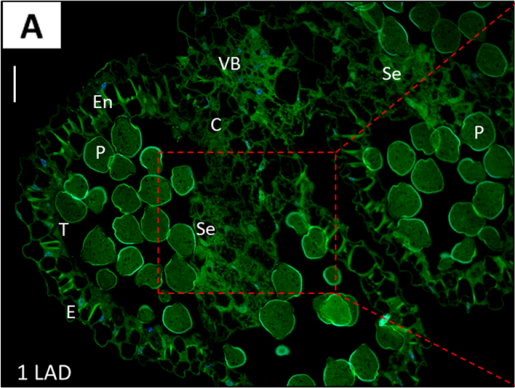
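The pollen grains are large oval bodies with bright, thick rims. The anther wall runs around the outside as a thin epidermis over a layer of endothecium cells whose walls carry bright, banded thickenings, with remains of tapetum on the inner side. In the middle lie the connective, with a vascular bundle of small, densely fluorescent cells, and the septum between the locules. The septum cells have a granular, mesh-like green fluorescence in their cytoplasm. Blue nuclei are few and small.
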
